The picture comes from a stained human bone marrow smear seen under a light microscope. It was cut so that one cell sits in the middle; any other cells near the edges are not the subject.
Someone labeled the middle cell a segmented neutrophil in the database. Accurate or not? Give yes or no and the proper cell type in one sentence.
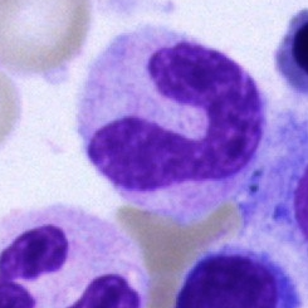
No, instead of a segmented neutrophil, the middle cell is a band neutrophil.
